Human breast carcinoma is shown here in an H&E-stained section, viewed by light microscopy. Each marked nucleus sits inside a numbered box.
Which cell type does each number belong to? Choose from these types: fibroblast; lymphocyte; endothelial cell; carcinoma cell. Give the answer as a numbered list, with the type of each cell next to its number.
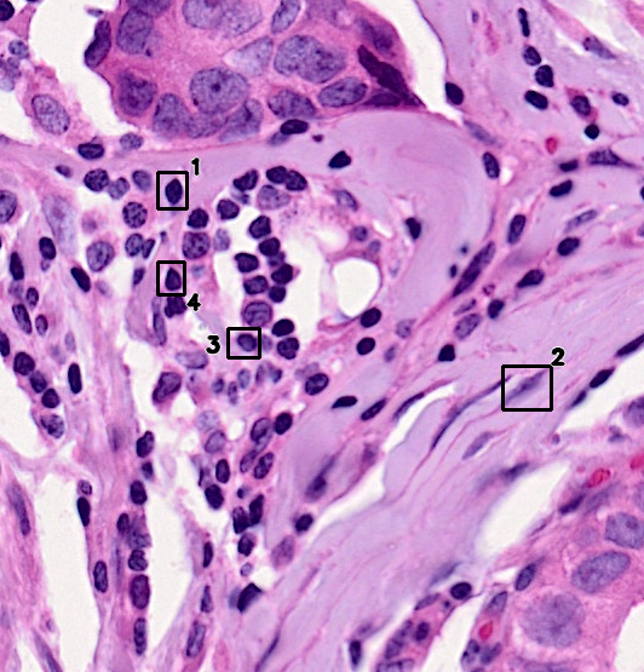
1. lymphocyte
2. fibroblast
3. lymphocyte
4. lymphocyte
